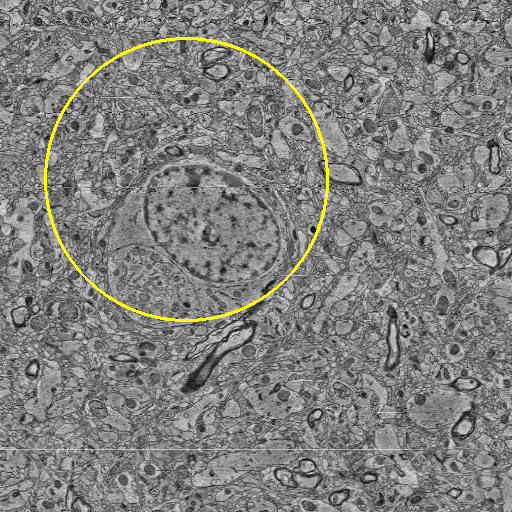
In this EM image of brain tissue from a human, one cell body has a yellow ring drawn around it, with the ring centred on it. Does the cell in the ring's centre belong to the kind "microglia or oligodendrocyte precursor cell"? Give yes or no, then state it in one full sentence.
Yes, in the picture, the cell centred in the yellow ring belongs to that kind.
